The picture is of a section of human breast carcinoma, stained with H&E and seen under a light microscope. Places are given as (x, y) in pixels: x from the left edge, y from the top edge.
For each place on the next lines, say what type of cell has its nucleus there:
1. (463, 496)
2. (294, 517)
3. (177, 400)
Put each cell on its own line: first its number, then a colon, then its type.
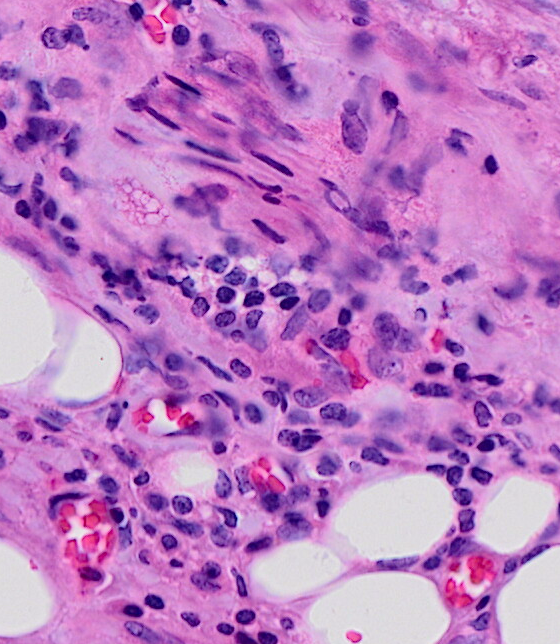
1: lymphocyte
2: lymphocyte
3: endothelial cell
